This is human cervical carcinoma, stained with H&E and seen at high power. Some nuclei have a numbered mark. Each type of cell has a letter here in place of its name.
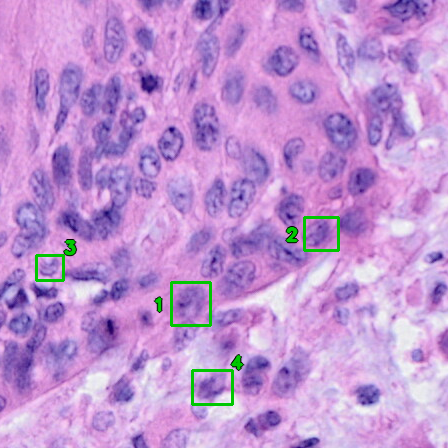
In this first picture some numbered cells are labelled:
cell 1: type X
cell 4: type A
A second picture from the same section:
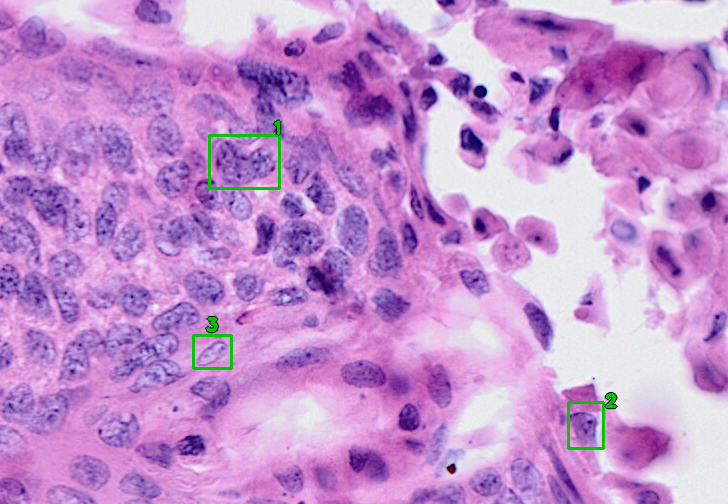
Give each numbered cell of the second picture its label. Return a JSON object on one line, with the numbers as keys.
{"1": "type X", "2": "type A", "3": "type X"}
